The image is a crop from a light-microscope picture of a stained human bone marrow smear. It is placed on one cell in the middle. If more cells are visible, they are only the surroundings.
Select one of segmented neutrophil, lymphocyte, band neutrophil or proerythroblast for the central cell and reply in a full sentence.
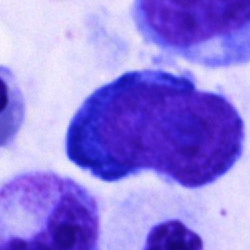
Located at the centre of the crop is a proerythroblast.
